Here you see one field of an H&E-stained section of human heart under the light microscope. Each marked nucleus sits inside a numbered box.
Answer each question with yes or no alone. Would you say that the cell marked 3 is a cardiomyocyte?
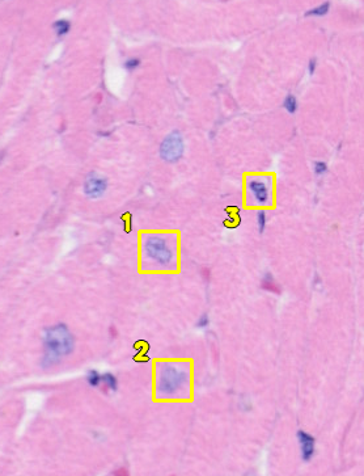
no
